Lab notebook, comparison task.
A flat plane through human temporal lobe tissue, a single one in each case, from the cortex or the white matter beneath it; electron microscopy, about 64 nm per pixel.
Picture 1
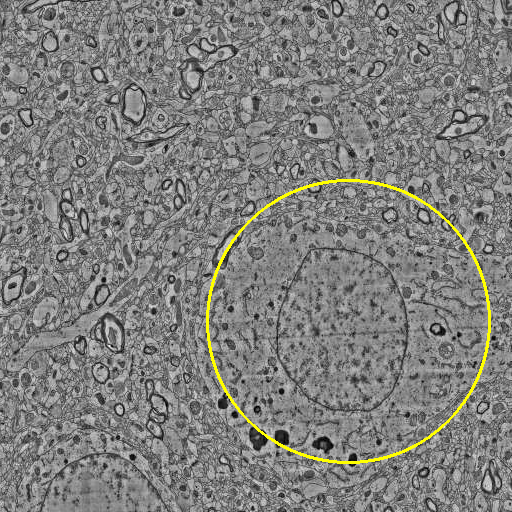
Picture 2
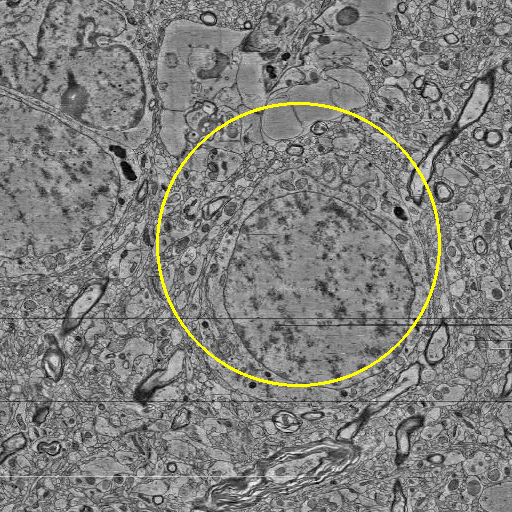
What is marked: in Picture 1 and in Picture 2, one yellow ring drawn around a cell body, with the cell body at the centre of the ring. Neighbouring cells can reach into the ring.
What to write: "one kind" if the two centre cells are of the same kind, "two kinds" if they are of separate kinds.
one kind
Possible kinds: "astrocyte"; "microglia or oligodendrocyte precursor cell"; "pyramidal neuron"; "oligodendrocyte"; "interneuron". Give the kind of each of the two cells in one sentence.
Both cells are the same kind, each one being a pyramidal neuron.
